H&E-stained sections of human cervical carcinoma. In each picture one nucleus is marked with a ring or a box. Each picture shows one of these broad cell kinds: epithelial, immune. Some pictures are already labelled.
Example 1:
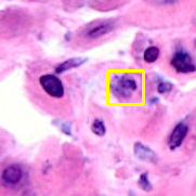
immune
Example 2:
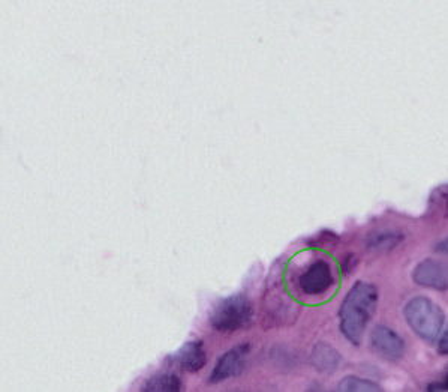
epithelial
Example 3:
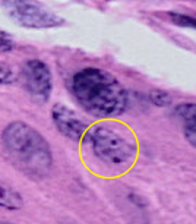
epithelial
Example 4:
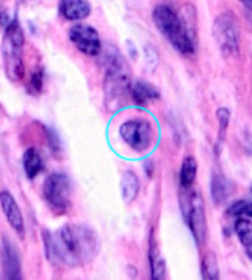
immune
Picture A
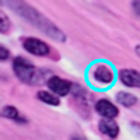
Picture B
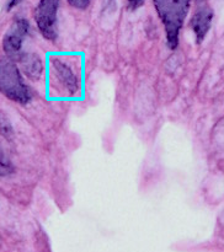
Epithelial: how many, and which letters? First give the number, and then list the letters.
1: B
